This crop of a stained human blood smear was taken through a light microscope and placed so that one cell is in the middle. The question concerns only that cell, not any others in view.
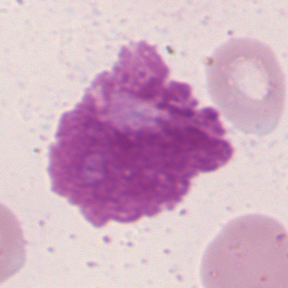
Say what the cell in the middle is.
smudge cell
